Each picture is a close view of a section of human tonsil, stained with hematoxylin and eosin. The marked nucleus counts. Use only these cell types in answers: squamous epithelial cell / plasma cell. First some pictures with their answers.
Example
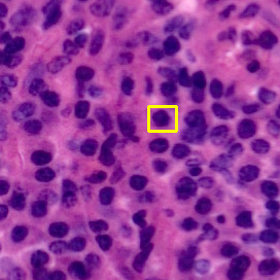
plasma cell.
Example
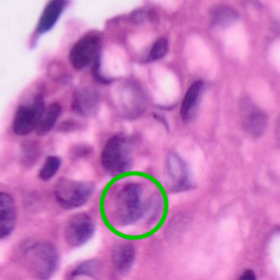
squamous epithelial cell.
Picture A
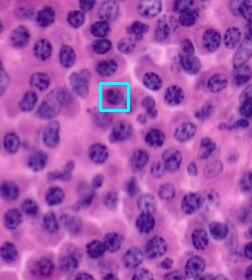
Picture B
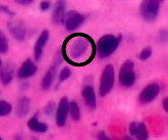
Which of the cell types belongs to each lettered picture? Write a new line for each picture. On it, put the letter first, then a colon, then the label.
A: plasma cell.
B: squamous epithelial cell.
